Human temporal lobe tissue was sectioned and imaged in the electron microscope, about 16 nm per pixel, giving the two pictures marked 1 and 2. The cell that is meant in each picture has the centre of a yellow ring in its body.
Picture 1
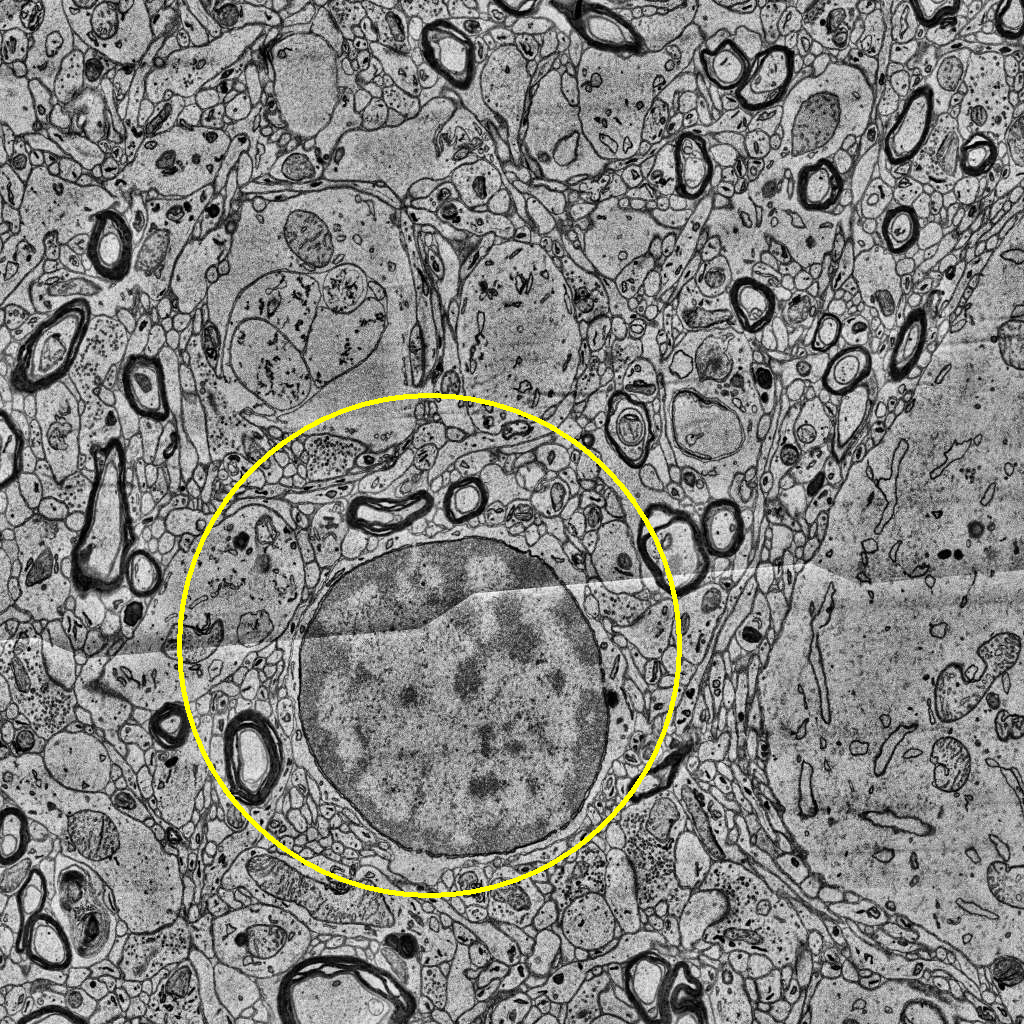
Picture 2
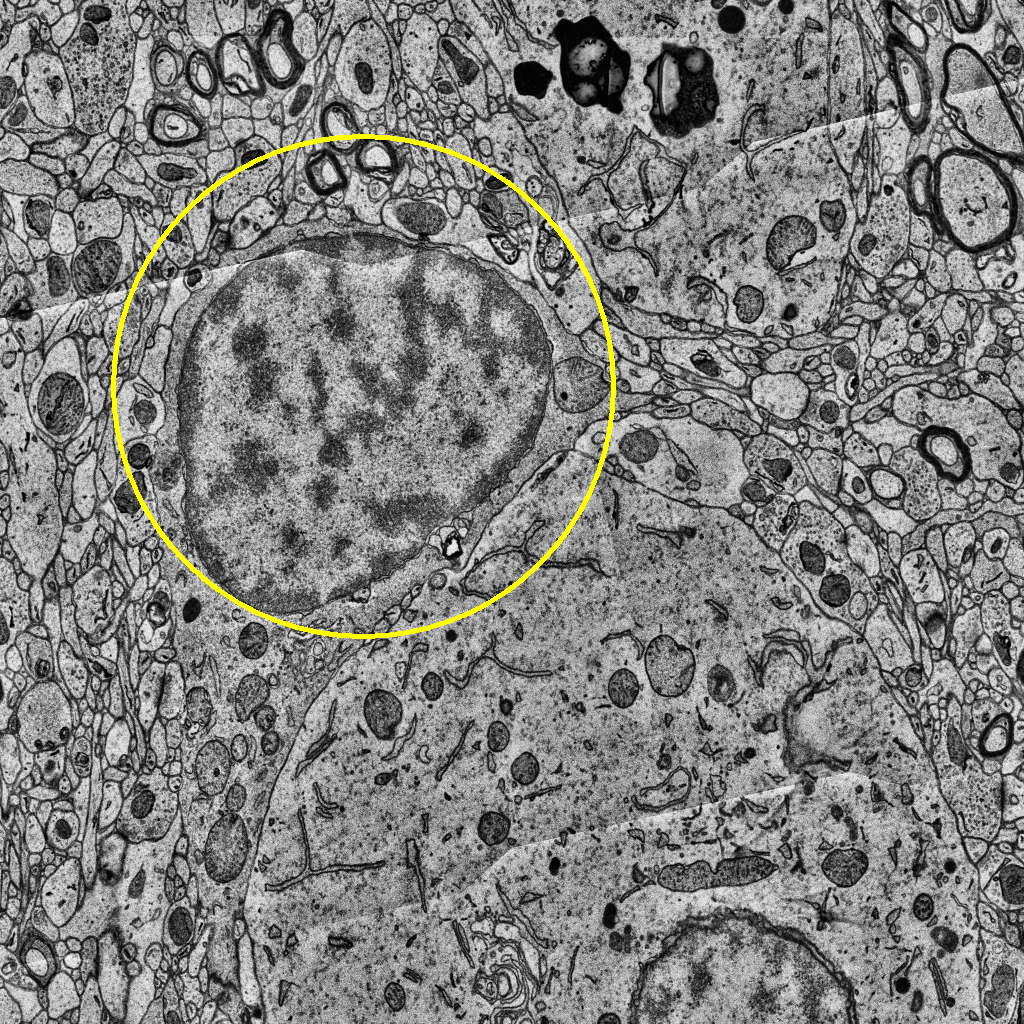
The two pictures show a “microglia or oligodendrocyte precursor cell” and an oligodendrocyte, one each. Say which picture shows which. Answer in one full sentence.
In picture 1 the cell is a “microglia or oligodendrocyte precursor cell”; in picture 2, an oligodendrocyte.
